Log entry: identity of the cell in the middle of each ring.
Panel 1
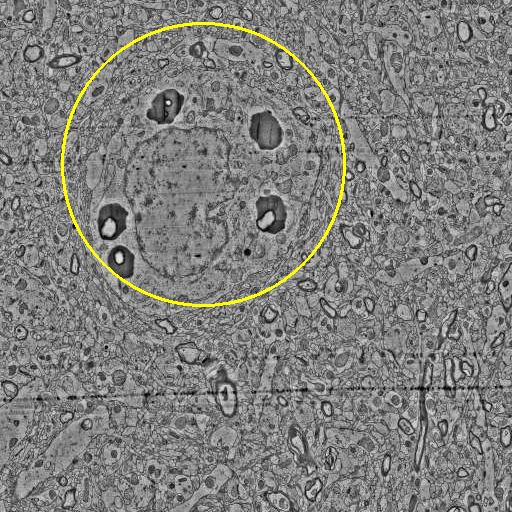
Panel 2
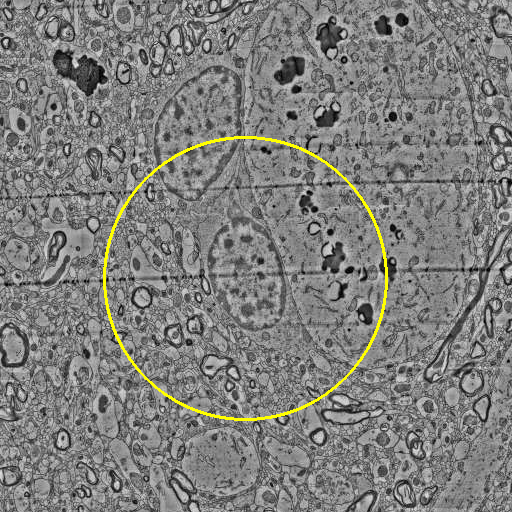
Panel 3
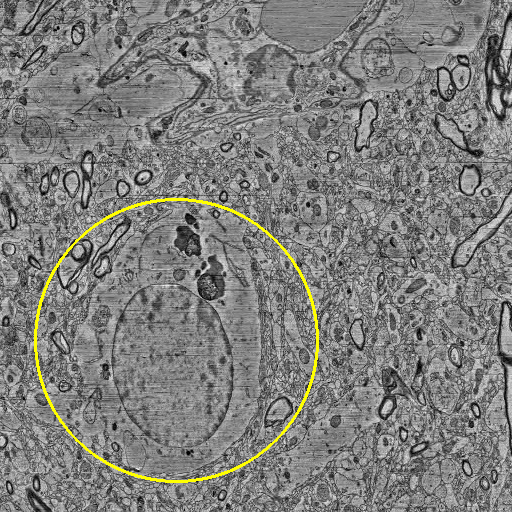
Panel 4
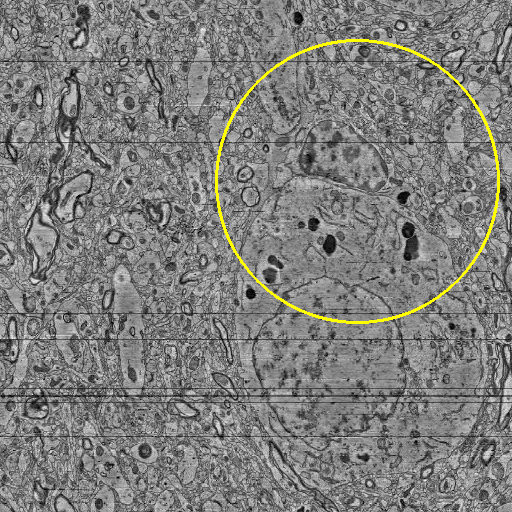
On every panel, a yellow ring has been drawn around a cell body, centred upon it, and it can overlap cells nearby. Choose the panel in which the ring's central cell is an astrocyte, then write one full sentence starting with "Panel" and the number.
Panel 3 shows the requested cell sitting in the middle of its ring.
